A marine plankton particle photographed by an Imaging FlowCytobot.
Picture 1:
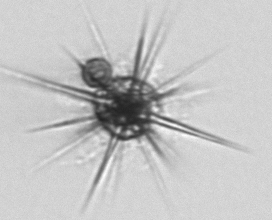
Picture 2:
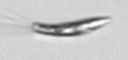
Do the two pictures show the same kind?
No: a radiolarian, then an euglenophyte.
